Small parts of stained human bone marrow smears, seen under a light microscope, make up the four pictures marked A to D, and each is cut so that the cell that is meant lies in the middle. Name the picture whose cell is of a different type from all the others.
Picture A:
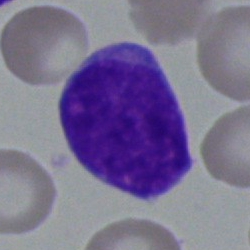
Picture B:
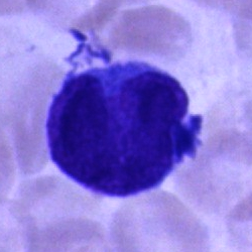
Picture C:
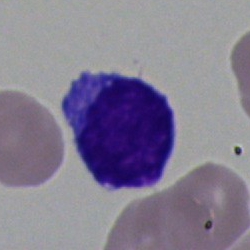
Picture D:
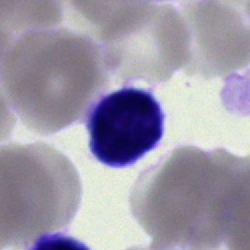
D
